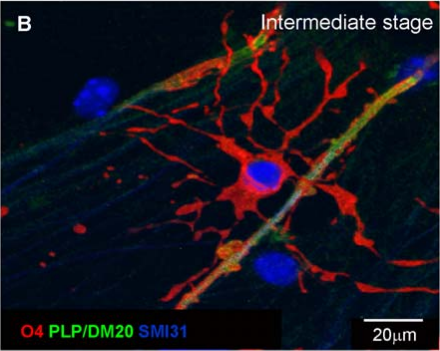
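A single oligodendrocyte with a round nucleus sits among long, straight, parallel neurites, its red cell body giving off many thin, branching processes. Several of these processes reach out to and run along the neurites, and on one neurite red and green signal coincide over a stretch, as if membrane were beginning to lie along it. Other nuclei in the field lie apart from the cell.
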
